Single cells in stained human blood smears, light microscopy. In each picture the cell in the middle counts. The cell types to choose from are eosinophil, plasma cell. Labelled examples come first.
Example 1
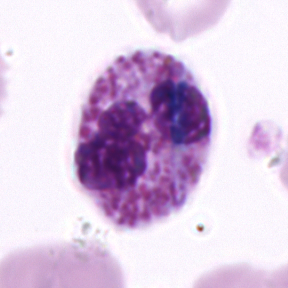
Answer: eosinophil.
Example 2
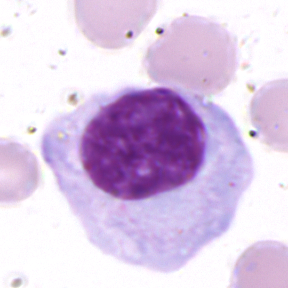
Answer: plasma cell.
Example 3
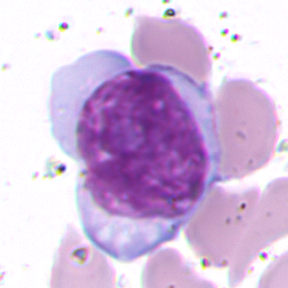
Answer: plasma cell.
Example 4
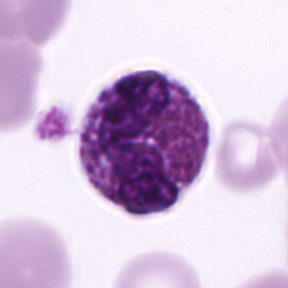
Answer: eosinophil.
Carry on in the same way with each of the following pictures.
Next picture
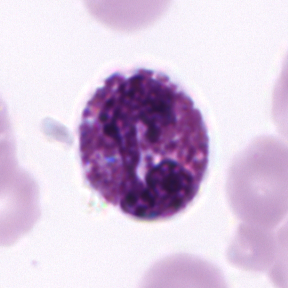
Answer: eosinophil.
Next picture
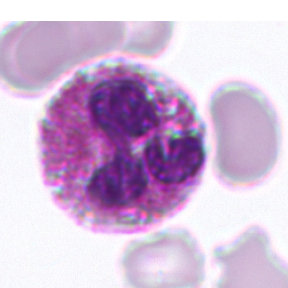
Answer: eosinophil.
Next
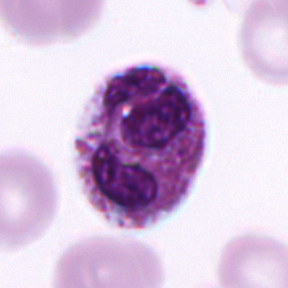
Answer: eosinophil.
